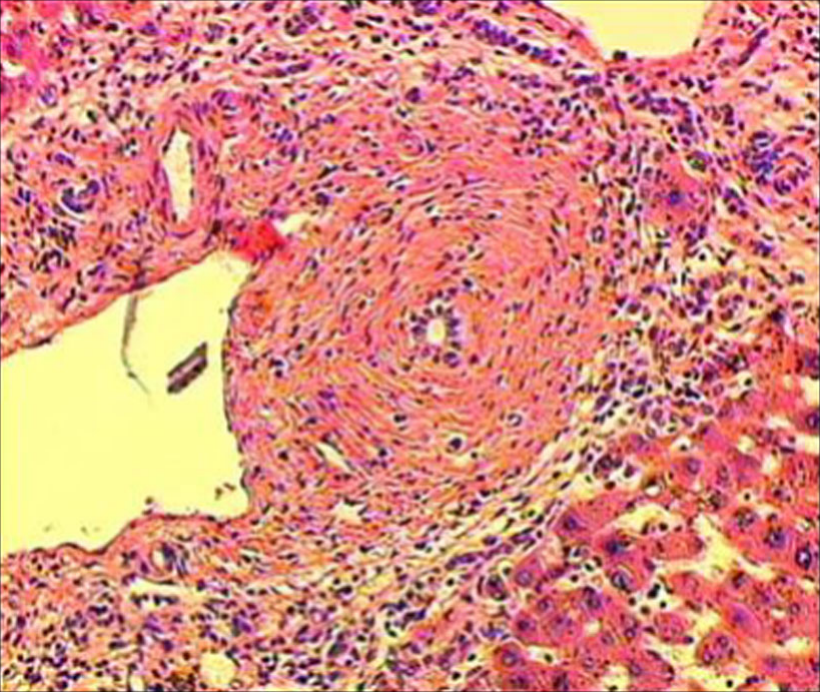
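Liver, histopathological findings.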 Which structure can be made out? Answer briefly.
Bile duct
